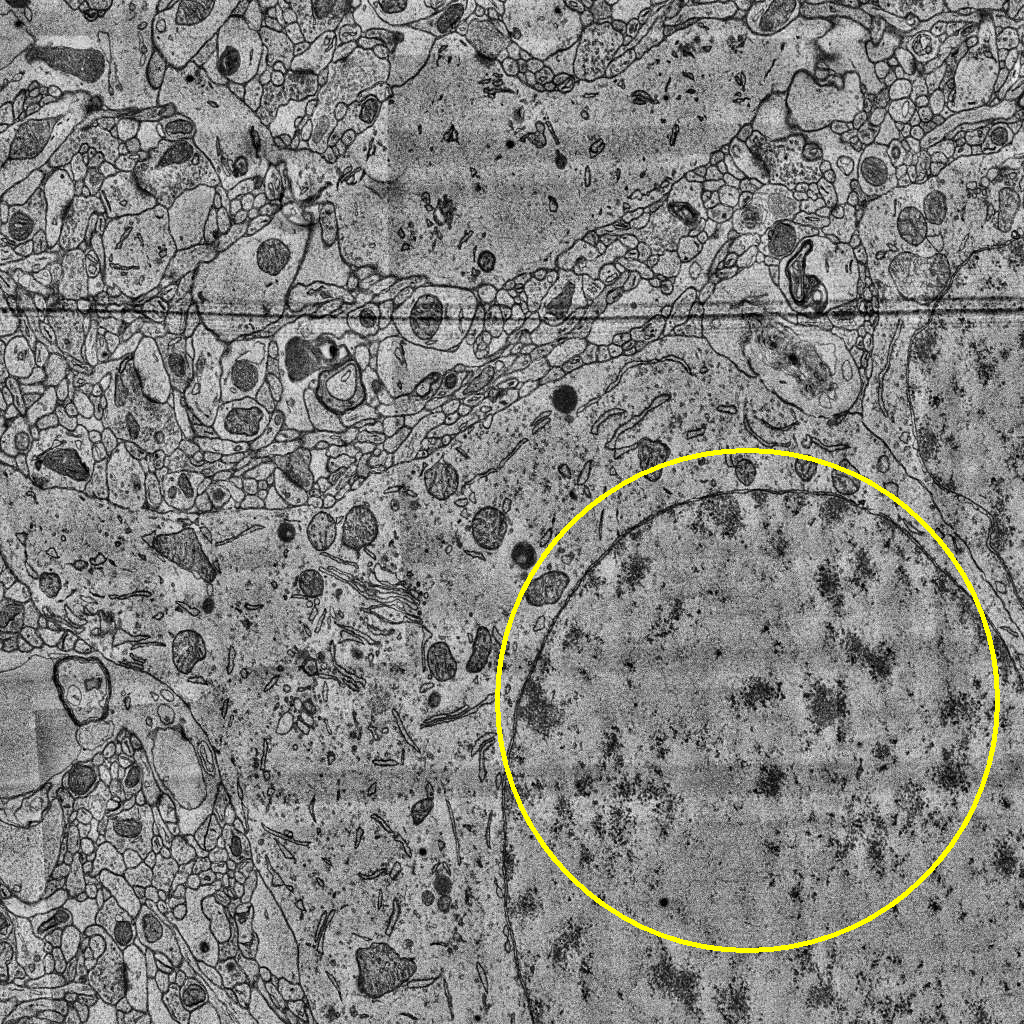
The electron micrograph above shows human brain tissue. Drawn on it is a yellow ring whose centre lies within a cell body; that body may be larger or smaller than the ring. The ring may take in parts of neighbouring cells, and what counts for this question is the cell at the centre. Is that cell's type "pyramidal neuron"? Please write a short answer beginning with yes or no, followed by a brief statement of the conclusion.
Yes, its type is the one named.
